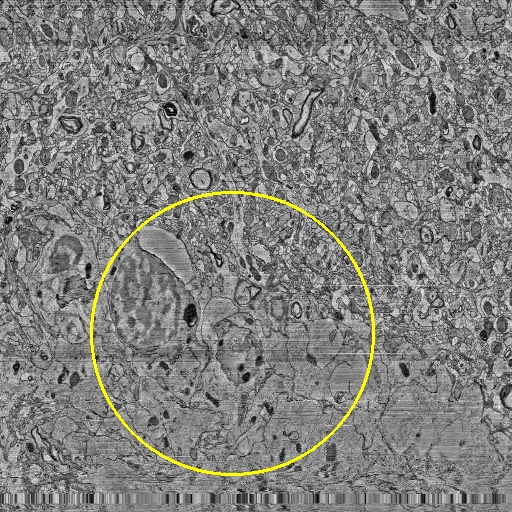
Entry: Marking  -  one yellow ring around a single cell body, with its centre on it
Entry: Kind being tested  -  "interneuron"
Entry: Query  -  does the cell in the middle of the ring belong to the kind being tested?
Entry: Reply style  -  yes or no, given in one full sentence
No, the centred cell within the ring in the picture belongs to a different kind.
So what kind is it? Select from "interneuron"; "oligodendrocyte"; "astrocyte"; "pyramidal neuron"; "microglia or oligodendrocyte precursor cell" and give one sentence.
Sitting at the ring centre is an oligodendrocyte.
